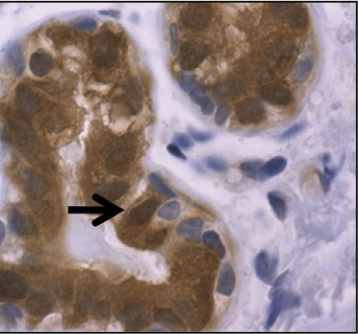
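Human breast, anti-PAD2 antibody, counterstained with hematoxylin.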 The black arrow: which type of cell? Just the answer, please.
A: Epithelial cells.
